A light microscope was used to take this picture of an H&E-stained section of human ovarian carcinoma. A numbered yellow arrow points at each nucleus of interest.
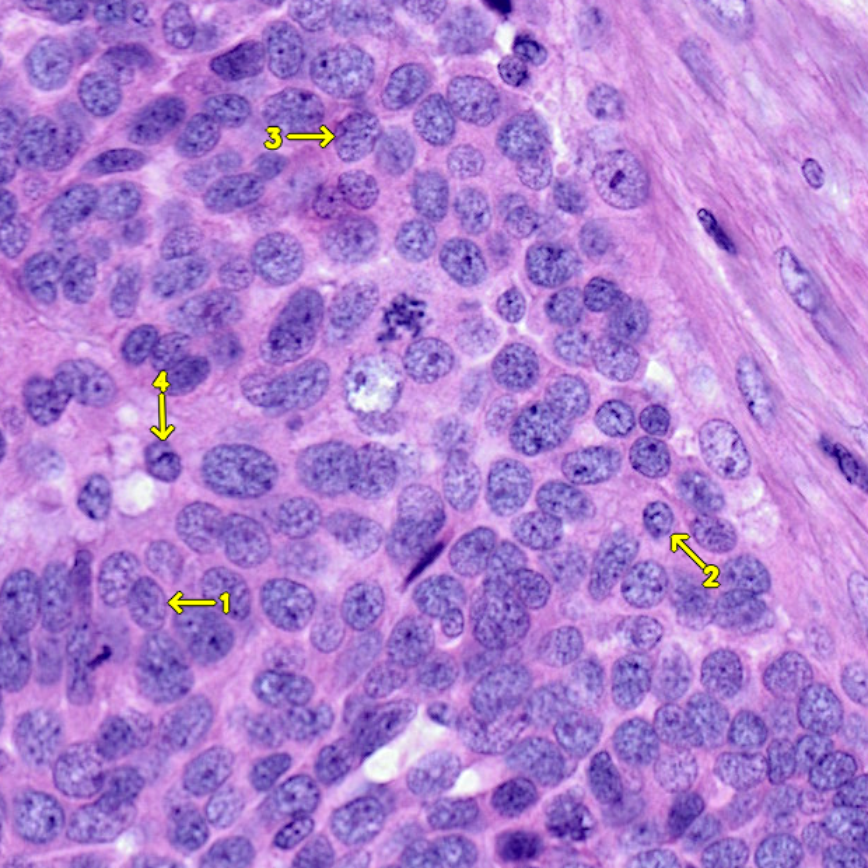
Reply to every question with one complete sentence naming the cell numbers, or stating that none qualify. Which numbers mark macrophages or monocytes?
The cells numbered 2 and 4 are of the kind known as macrophages or monocytes.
